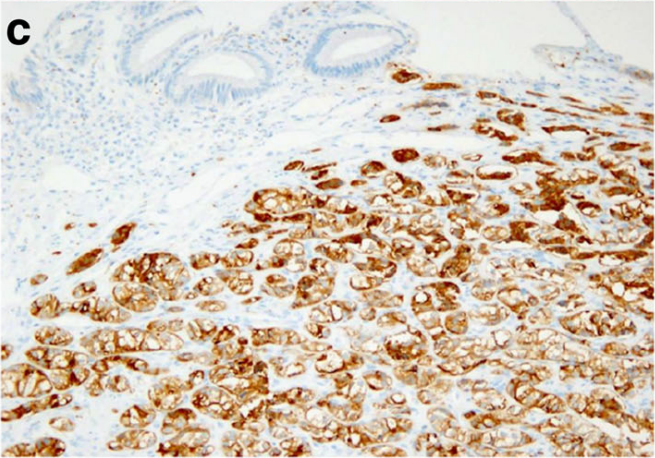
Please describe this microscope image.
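The lower and right part of the field is filled with tumor cells in rounded nests and cords whose cytoplasm is strongly stained brown, often with a bubbly, clear-looking interior outlined by brown rims. Thin blue stromal strands separate the nests. At the top, glands lined by columnar epithelium and the surrounding stroma remain blue with hematoxylin only, sharply contrasting with the brown-stained cell sheet below. The staining is diffuse across nearly all tumor nests, marking them off clearly from the overlying mucosa.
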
